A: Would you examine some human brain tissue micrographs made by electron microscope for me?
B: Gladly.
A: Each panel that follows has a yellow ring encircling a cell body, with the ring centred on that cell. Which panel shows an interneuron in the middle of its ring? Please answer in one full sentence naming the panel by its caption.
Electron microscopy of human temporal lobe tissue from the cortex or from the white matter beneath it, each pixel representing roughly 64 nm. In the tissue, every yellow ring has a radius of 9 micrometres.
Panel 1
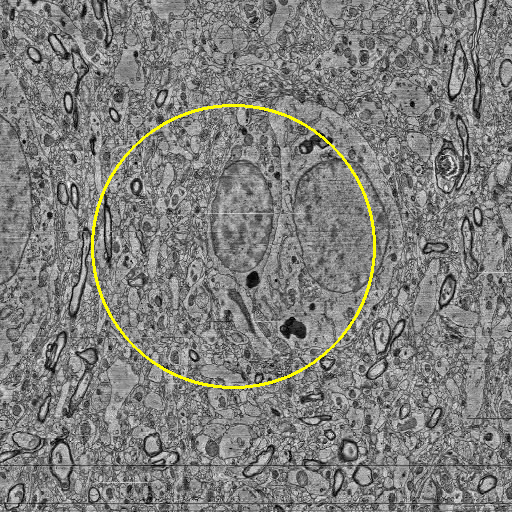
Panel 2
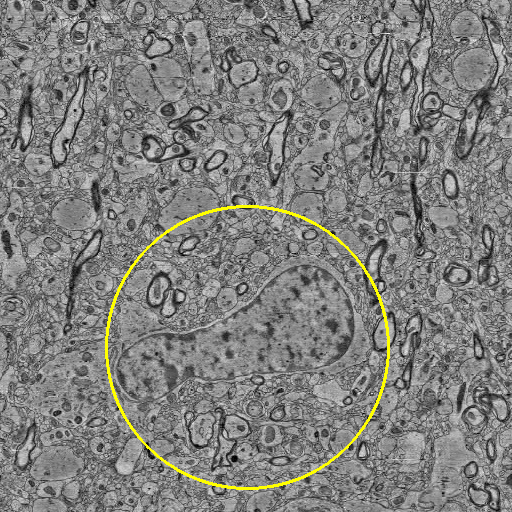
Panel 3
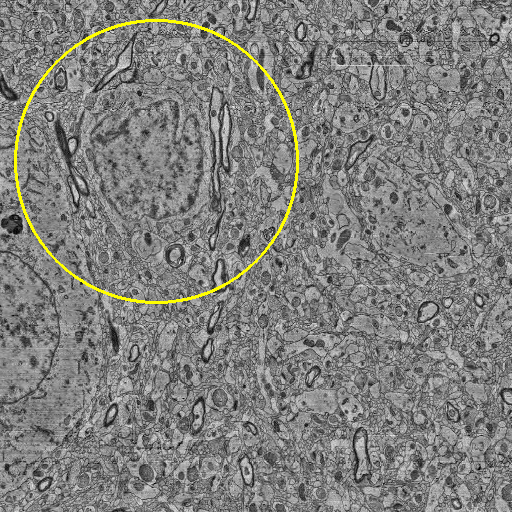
Panel 3 is where the ring sits centred on the requested cell.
